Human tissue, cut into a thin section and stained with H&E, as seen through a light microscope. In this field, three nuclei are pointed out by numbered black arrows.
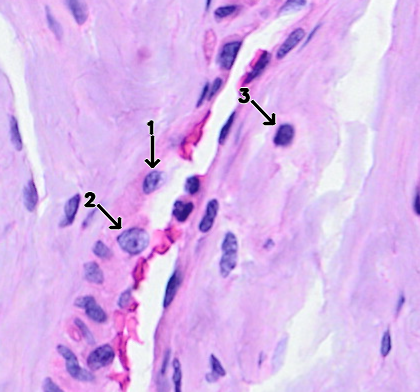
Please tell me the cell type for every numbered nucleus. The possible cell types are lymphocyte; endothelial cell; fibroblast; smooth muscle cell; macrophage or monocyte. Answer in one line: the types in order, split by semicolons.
endothelial cell; endothelial cell; lymphocyte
